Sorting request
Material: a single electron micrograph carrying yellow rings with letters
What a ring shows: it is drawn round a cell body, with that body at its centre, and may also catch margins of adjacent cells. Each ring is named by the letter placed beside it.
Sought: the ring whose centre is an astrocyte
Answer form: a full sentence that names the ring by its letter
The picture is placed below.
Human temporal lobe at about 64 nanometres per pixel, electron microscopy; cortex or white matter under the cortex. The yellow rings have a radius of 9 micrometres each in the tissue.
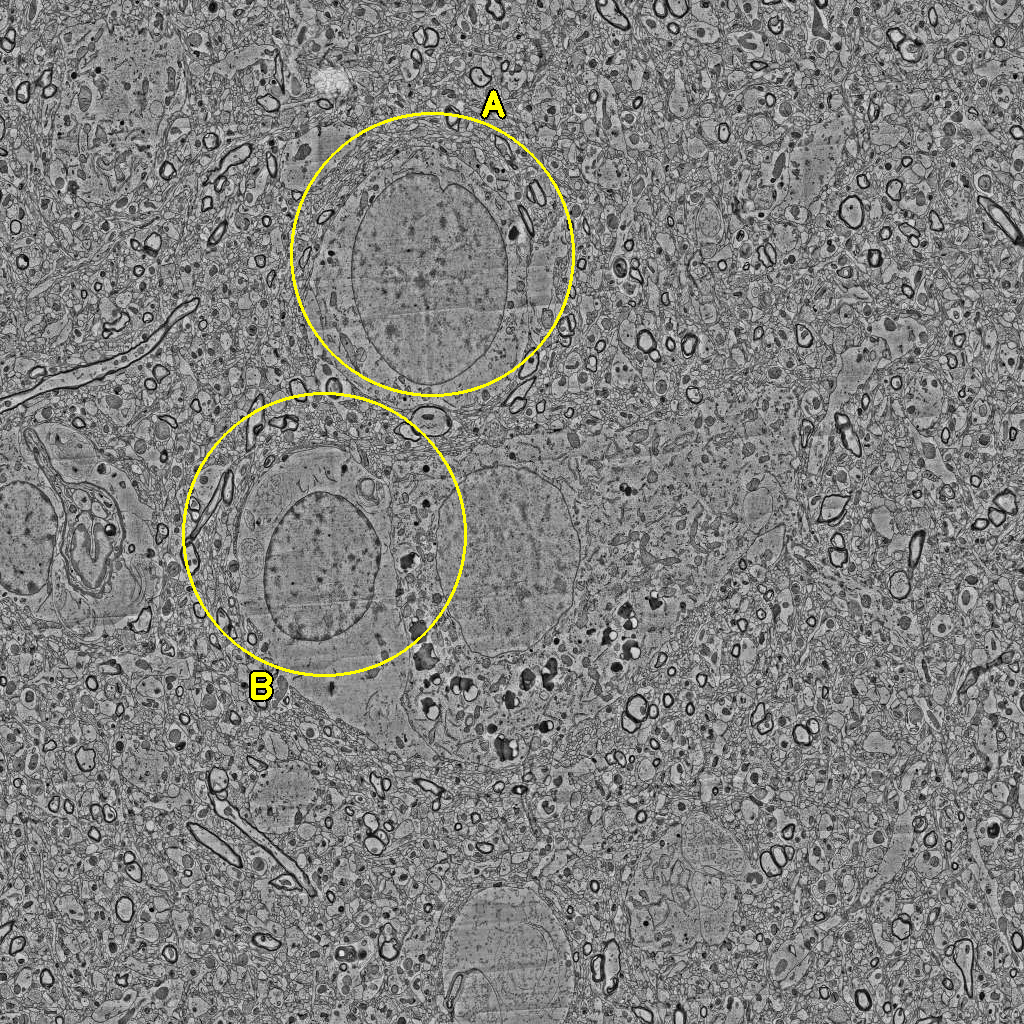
The ring centred on the cell asked for carries the letter B.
